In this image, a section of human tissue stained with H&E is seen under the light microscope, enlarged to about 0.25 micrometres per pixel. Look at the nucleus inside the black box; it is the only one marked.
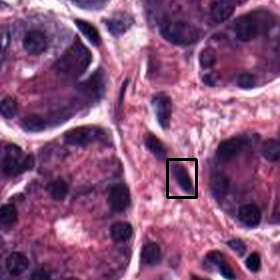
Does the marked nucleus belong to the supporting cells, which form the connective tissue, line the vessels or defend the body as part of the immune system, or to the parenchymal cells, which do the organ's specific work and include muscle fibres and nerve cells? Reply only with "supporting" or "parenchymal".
supporting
